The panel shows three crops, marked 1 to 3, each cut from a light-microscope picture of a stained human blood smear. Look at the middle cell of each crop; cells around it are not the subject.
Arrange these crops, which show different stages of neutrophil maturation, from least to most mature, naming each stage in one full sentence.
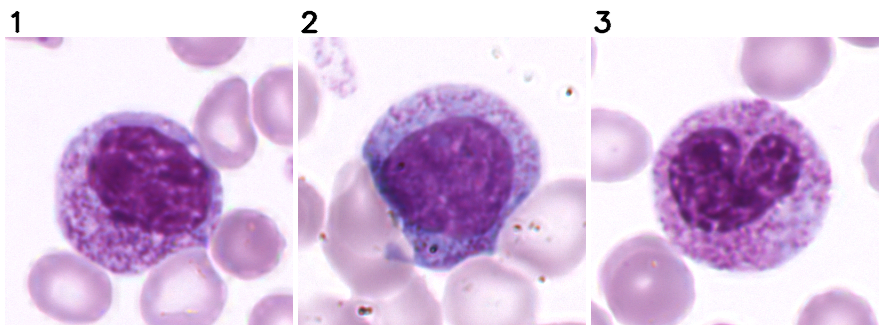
The order from least to most mature is crop 2 (a promyelocyte), crop 1 (a myelocyte) and crop 3 (a band neutrophil).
